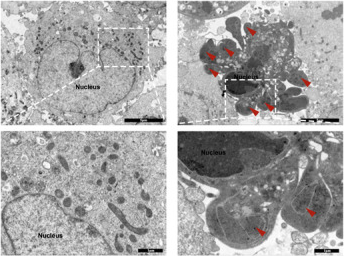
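In the left column a cell has a large oval nucleus with evenly dispersed chromatin and a nucleolus, surrounded by cytoplasm containing many small mitochondria and vesicles; the enlarged view shows a smooth nuclear envelope and elongated mitochondria. In the right column the cell is markedly altered: its contents are broken into several very electron-dense, rounded and lobulated masses of various size, marked by arrows, lying around and near the dark condensed nucleus. The enlarged view shows these dense membrane-bounded bodies with compacted material inside.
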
